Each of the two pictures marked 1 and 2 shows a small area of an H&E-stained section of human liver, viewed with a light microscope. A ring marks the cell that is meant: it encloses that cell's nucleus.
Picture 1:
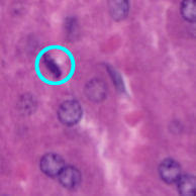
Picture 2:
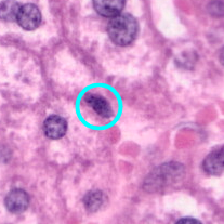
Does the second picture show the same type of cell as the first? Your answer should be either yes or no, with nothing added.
yes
